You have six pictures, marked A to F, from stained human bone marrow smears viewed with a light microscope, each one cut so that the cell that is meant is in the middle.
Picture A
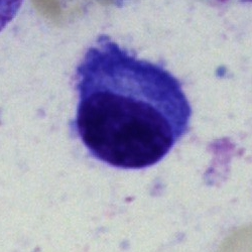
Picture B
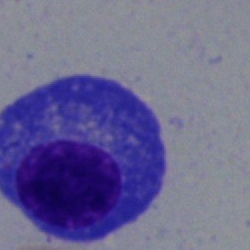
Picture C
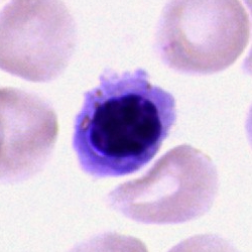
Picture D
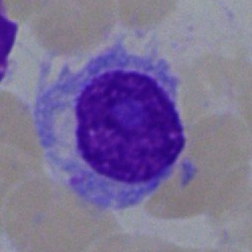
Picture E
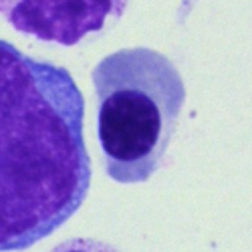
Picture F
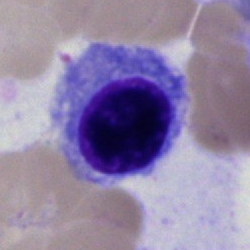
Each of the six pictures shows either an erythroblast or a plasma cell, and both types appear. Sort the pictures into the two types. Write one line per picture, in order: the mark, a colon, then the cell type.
A: plasma cell
B: plasma cell
C: erythroblast
D: plasma cell
E: erythroblast
F: erythroblast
